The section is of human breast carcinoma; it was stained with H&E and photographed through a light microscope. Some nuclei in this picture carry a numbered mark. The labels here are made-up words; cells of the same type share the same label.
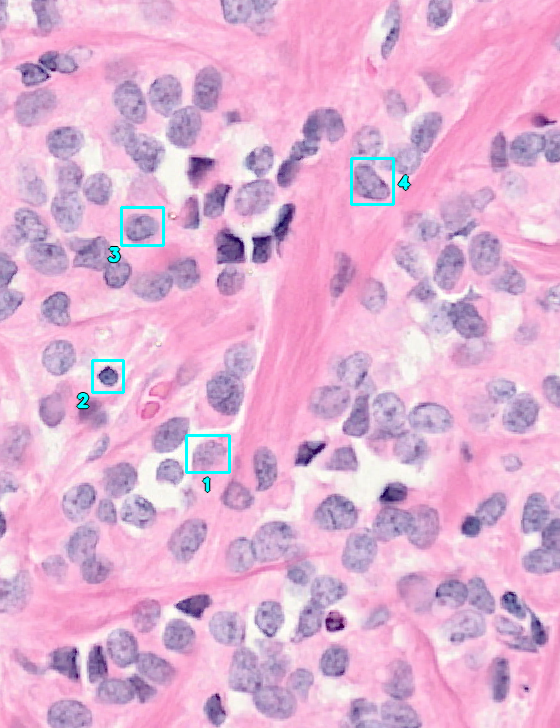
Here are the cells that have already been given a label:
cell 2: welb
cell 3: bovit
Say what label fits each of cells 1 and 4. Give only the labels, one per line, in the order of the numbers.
bovit
bovit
